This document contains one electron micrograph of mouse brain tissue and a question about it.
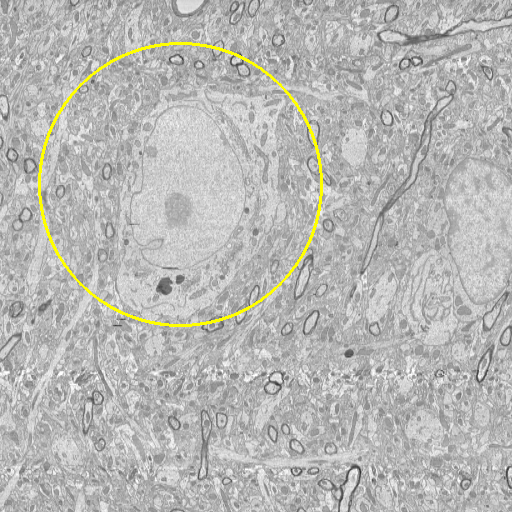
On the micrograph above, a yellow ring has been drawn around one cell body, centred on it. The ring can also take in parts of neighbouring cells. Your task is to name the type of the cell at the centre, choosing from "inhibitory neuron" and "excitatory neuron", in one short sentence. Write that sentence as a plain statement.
Here the ring is centred on an excitatory neuron.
